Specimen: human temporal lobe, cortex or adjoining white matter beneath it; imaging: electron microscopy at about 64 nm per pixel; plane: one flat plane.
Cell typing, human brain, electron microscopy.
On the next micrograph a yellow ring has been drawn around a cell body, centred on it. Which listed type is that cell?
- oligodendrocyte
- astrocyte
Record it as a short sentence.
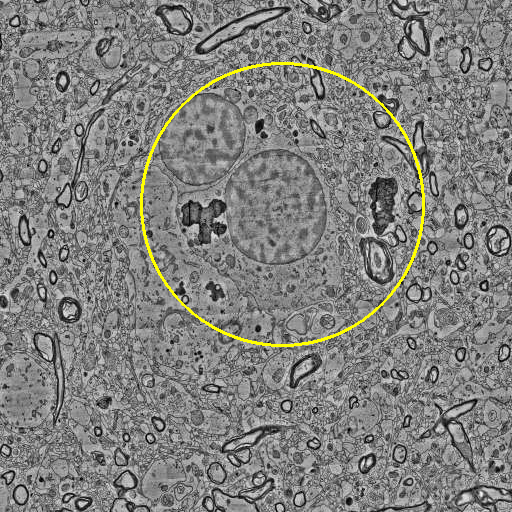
The cell body in the ring's centre belongs to an oligodendrocyte.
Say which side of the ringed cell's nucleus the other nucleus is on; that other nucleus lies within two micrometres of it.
The other nucleus is found to the upper left of it.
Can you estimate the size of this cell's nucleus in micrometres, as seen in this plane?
The nucleus comes to roughly 7 micrometres across in this plane.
